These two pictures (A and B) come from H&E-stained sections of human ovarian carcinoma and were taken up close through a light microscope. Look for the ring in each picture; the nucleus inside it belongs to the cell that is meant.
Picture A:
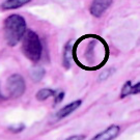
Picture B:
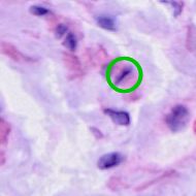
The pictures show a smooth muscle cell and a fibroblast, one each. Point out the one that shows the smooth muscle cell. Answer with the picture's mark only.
B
